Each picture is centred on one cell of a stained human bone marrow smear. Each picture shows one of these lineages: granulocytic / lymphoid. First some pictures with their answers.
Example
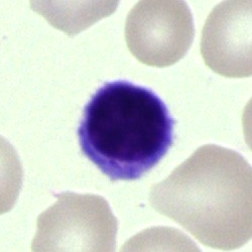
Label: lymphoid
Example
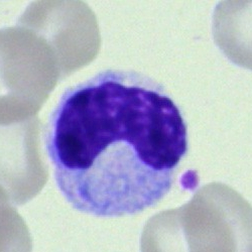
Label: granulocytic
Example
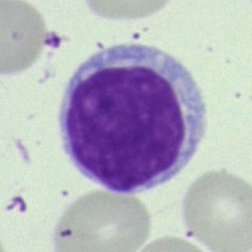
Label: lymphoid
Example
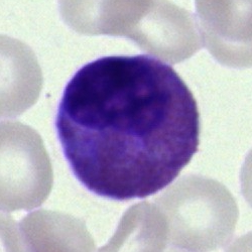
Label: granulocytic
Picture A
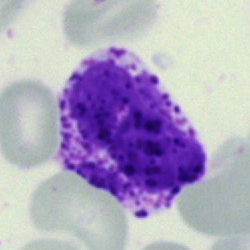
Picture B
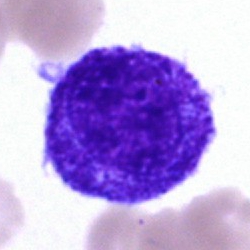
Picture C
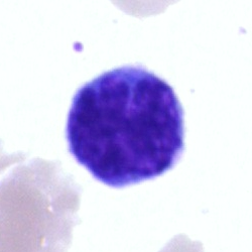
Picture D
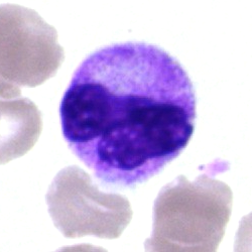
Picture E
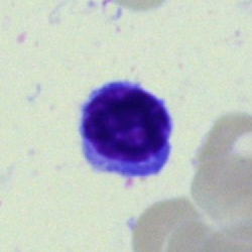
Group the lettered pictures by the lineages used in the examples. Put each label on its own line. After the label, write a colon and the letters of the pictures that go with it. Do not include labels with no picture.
granulocytic: A, B, D
lymphoid: C, E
